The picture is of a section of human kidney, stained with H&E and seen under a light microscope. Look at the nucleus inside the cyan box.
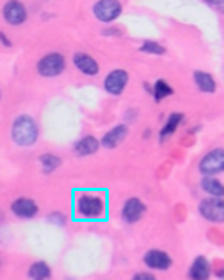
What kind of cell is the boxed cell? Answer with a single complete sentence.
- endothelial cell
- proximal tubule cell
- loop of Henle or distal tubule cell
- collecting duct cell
In the tissue at hand, the boxed cell is a loop of Henle or distal tubule cell.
